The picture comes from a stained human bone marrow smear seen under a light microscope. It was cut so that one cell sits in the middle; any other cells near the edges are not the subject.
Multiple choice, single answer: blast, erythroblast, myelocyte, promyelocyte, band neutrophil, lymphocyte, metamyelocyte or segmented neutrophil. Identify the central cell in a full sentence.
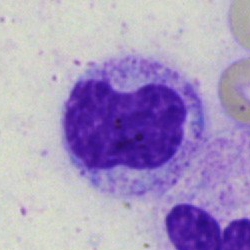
The cell the crop is centered on is a metamyelocyte.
